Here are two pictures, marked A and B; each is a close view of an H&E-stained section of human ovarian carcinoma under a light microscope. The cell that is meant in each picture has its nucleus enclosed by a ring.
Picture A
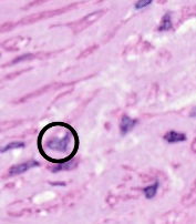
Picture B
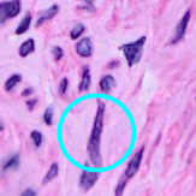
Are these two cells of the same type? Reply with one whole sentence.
No; the cell in picture A is a fibroblast, while the one in picture B is a smooth muscle cell.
